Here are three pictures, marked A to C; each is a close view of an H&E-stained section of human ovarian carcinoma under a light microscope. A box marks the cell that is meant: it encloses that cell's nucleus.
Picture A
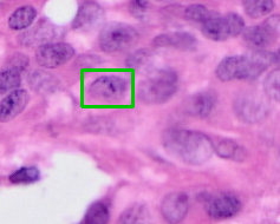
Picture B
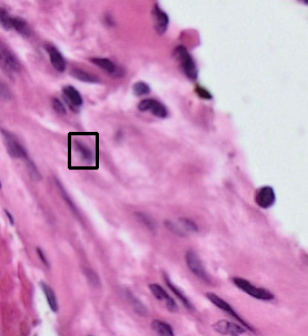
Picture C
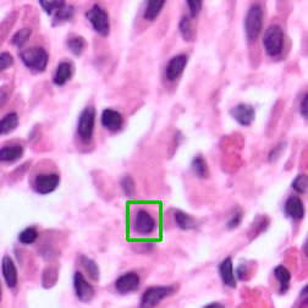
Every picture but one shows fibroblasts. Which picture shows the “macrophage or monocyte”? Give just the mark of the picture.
A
